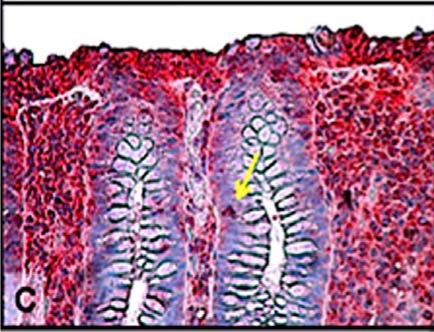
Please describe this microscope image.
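Colonic mucosa with crypts lined by tall columnar epithelium containing many pale goblet cells around a central lumen. Between the crypts the lamina propria is packed with small round cells that stain intensely red, and a few small dark cells lie within the crypt epithelium. The surface epithelium at the top also stains red.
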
